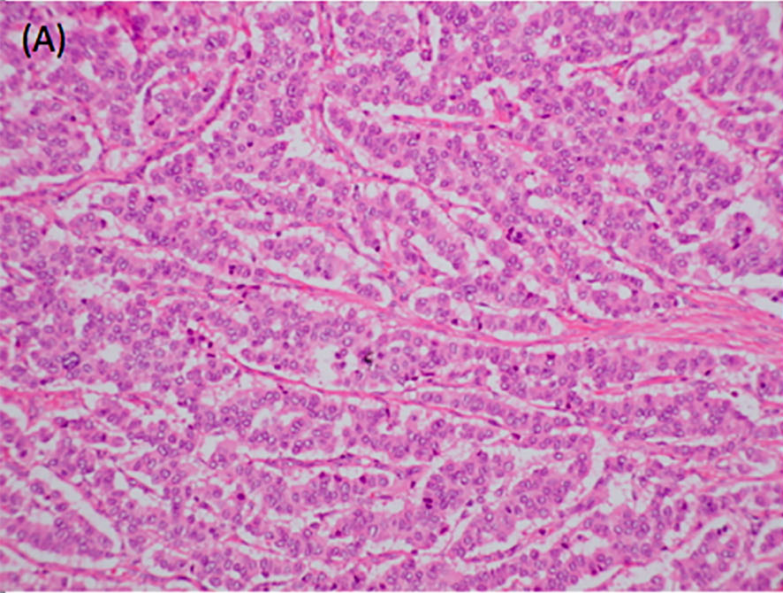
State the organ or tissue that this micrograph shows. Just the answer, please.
Neuroendocrine tumor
